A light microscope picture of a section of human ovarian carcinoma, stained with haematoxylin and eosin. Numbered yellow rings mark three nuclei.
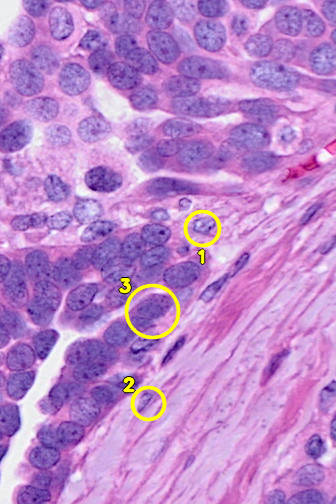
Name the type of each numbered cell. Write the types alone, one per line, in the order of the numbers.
fibroblast
fibroblast
carcinoma cell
